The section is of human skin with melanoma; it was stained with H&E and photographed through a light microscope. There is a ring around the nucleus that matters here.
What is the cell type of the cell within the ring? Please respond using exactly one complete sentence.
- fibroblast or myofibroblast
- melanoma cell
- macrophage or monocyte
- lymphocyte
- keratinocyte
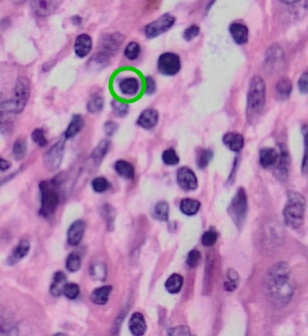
As to its cell type, the cell within the ring is a lymphocyte.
